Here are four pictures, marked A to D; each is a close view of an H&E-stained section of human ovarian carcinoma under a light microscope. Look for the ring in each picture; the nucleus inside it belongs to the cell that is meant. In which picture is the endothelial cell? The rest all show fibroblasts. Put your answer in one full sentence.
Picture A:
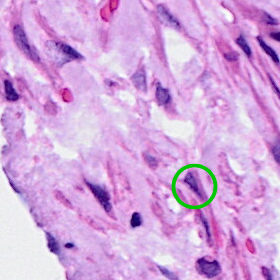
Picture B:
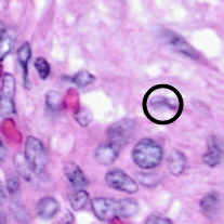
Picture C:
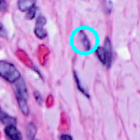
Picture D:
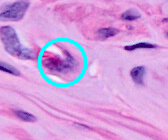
Picture D shows the endothelial cell.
